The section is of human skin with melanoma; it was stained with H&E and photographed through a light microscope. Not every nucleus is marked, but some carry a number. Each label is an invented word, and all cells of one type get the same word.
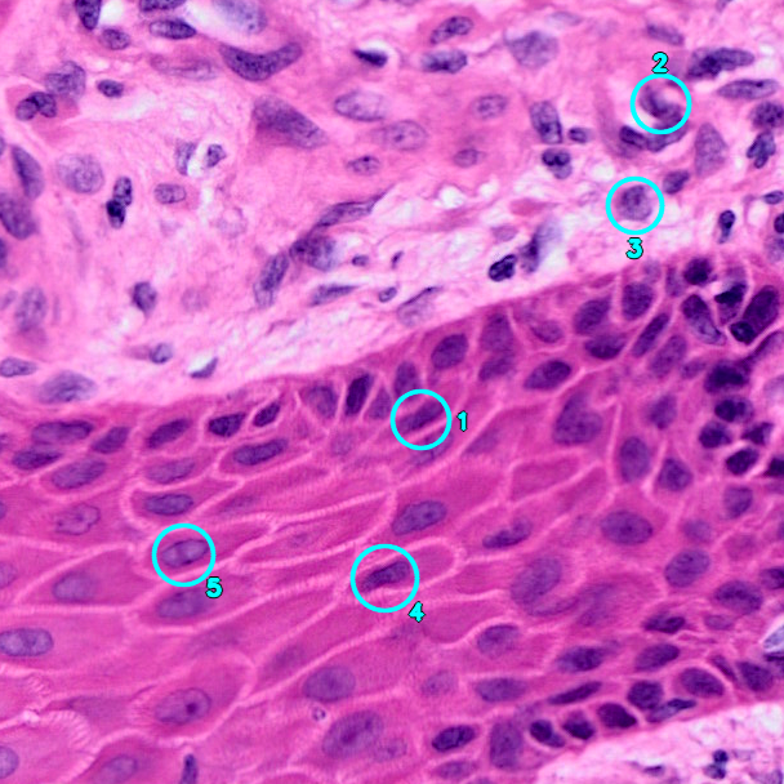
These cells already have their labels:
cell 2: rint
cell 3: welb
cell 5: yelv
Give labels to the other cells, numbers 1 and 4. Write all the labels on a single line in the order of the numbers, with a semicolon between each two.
yelv; yelv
